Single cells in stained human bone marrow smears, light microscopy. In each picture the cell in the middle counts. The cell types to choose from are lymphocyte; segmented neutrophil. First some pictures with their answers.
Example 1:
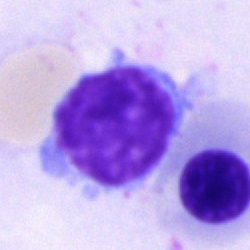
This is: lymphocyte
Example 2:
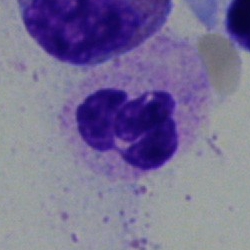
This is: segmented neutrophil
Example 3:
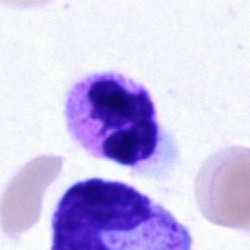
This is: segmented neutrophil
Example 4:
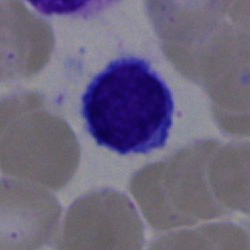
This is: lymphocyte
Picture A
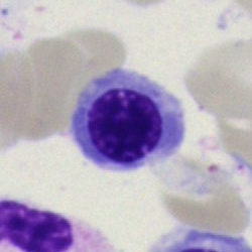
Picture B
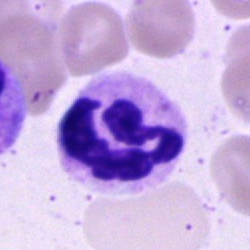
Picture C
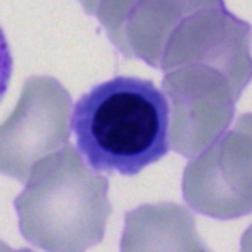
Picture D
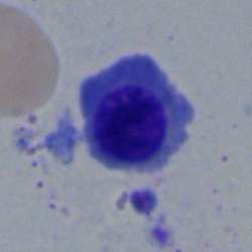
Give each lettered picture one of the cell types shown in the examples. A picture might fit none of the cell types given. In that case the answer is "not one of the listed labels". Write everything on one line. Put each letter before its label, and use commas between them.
A not one of the listed labels, B segmented neutrophil, C not one of the listed labels, D not one of the listed labels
